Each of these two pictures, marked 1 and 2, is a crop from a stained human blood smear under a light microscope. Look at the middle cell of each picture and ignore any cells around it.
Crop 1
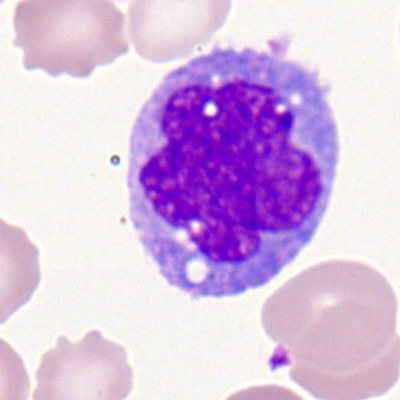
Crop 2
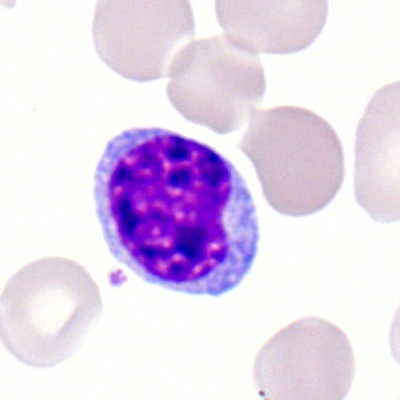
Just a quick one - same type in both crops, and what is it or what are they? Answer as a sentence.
No, crop 1 shows a monocyte and crop 2 shows a lymphocyte.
